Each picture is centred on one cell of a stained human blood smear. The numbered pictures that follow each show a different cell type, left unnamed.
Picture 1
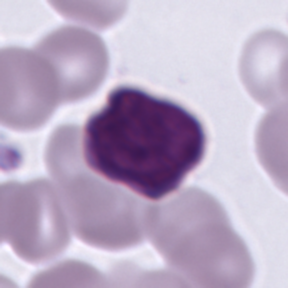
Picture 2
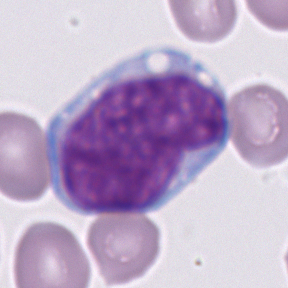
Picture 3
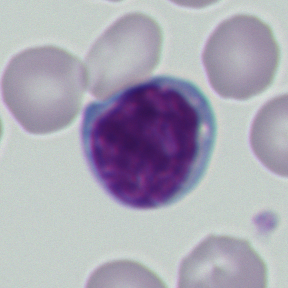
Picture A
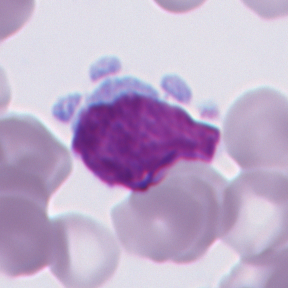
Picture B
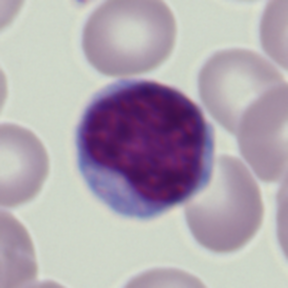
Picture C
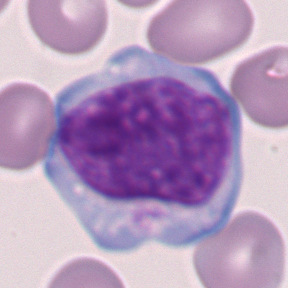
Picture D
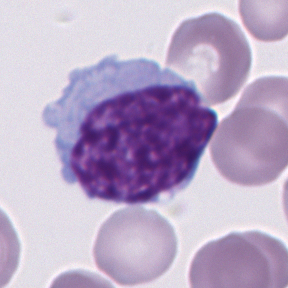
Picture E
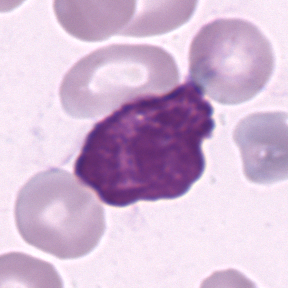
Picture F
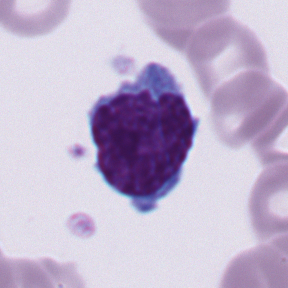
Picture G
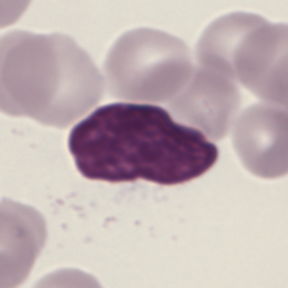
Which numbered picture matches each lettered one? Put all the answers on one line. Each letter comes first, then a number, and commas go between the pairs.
A 3, B 3, C 2, D 2, E 1, F 3, G 1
